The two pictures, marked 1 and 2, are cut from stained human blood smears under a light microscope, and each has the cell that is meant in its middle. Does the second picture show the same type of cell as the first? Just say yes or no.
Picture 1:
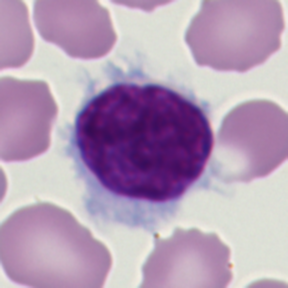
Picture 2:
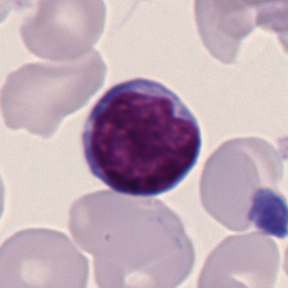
no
